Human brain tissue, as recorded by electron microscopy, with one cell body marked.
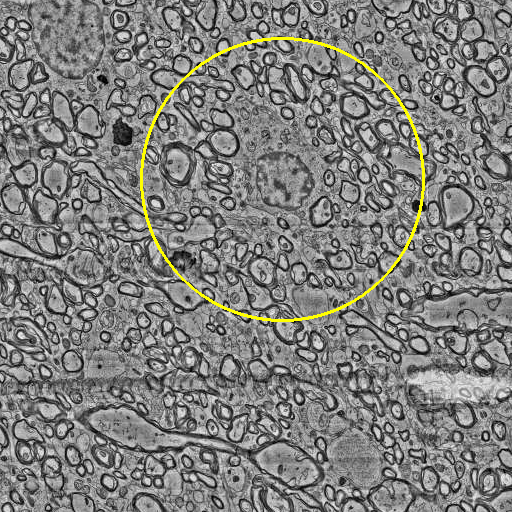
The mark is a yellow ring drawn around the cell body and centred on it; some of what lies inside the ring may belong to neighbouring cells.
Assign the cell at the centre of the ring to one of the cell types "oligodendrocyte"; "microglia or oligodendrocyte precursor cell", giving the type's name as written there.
oligodendrocyte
